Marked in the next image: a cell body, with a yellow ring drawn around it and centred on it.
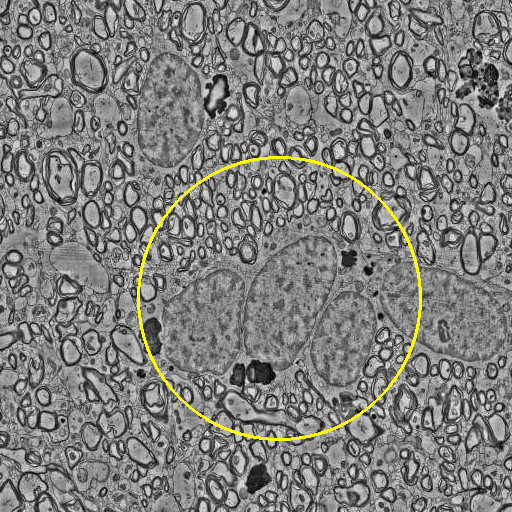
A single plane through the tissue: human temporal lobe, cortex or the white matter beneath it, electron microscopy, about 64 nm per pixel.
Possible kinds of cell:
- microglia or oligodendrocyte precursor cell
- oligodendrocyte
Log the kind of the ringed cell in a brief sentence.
The ringed cell body is that of an oligodendrocyte.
